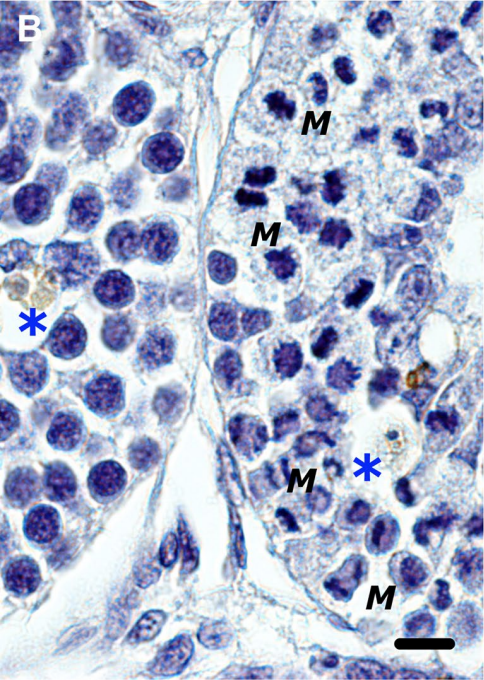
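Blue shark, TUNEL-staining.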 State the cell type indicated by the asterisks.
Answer: Spermatogonia.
